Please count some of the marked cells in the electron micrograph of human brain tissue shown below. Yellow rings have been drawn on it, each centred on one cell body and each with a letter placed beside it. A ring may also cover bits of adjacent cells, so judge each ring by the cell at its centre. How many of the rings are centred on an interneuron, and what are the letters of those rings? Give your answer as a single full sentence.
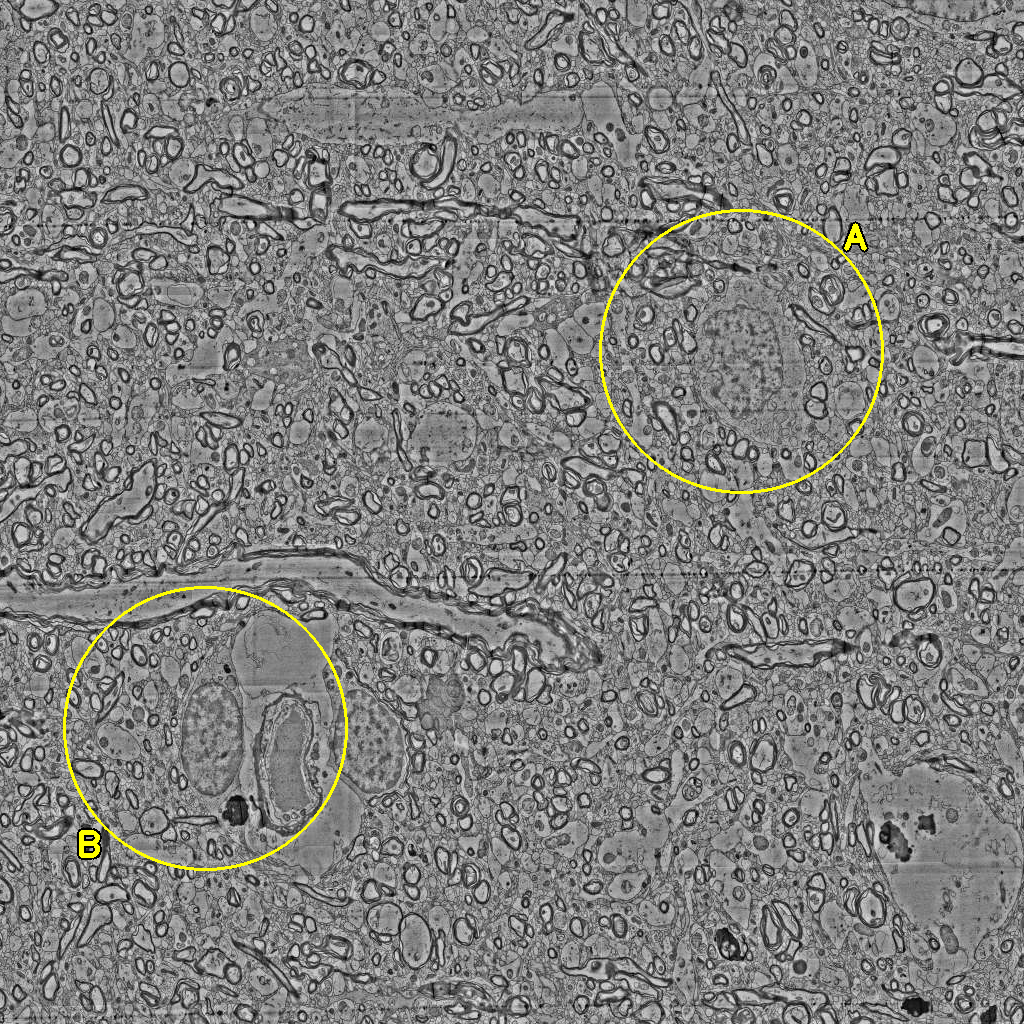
Only one ring is centred on an interneuron in the micrograph, and it is ring A.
